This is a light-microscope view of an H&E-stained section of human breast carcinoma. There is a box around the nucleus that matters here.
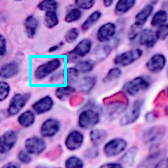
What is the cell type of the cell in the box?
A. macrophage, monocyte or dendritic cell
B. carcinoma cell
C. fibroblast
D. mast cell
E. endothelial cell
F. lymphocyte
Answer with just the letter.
F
